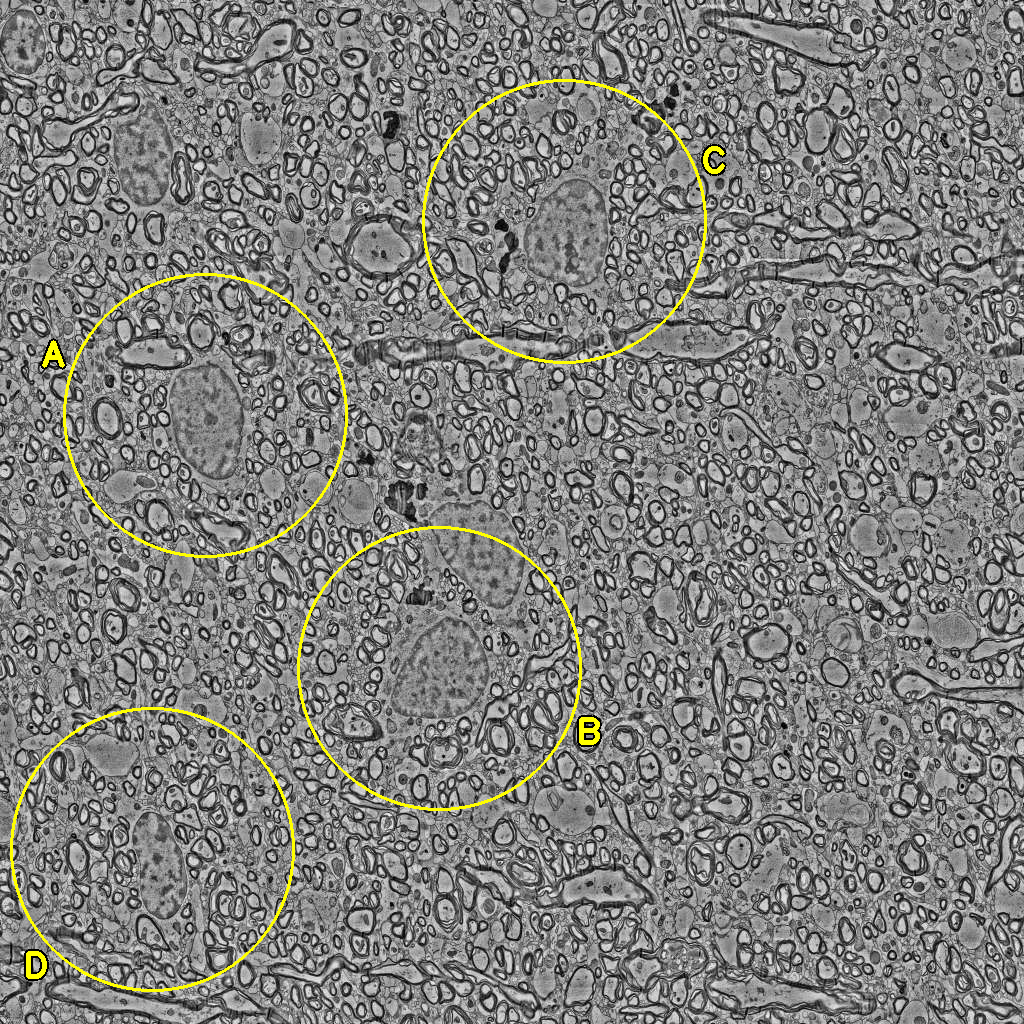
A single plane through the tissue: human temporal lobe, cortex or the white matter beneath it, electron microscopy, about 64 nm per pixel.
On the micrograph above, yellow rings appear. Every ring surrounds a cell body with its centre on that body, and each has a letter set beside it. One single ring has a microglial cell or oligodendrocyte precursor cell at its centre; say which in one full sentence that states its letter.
The answer is ring D, whose centre lies on the cell asked for.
